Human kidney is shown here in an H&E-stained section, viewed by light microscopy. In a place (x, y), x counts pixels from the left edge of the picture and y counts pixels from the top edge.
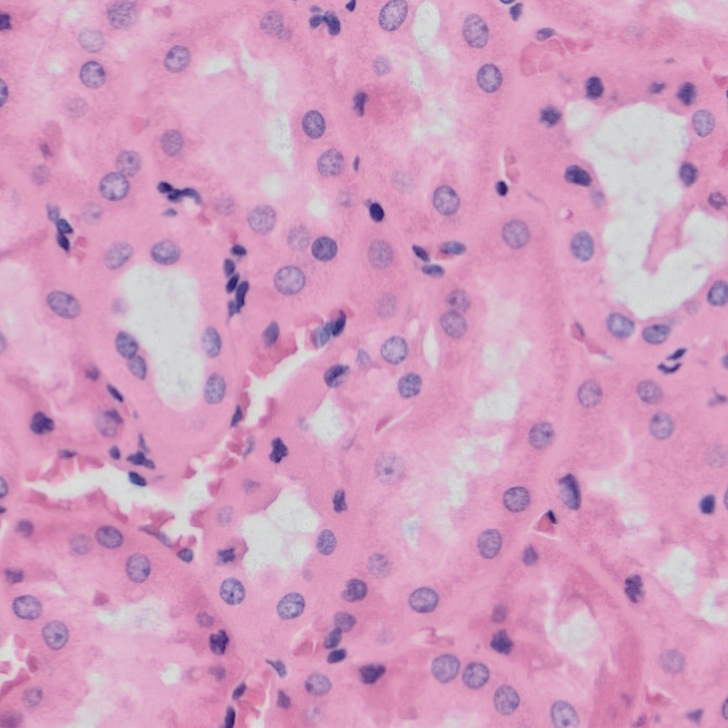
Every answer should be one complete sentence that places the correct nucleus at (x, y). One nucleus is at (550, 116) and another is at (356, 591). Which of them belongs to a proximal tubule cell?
The nucleus that belongs to a proximal tubule cell is located at (356, 591).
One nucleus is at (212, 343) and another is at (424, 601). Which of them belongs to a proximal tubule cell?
Of the two candidate nuclei, the one at (424, 601) is that of a proximal tubule cell.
